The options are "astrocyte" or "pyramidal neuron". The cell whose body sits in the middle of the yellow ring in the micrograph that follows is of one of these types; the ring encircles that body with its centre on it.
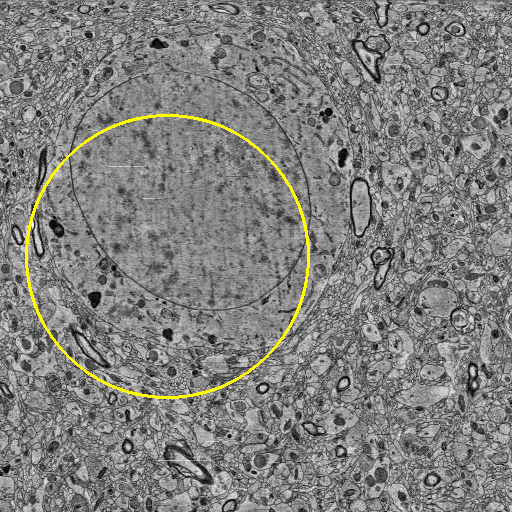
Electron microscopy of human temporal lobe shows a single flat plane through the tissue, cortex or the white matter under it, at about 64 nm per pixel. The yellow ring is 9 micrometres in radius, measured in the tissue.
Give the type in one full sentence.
Going by the micrograph, the cell centred in the yellow ring is a pyramidal neuron.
